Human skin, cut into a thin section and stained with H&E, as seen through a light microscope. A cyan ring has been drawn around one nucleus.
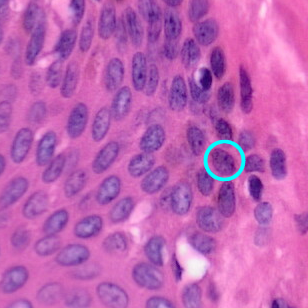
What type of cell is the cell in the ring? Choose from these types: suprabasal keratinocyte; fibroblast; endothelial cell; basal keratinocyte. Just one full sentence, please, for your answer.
Within this tissue, the cell in the ring is a basal keratinocyte.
